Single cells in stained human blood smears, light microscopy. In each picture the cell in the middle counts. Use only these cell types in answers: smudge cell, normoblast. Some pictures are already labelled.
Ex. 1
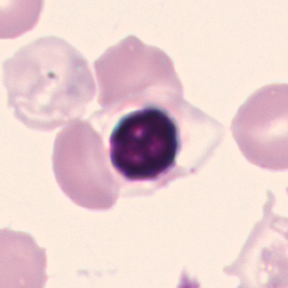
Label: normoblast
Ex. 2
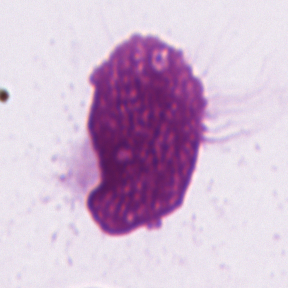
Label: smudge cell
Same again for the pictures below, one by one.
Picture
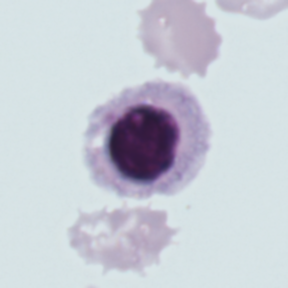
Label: normoblast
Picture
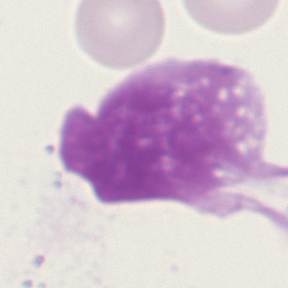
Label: smudge cell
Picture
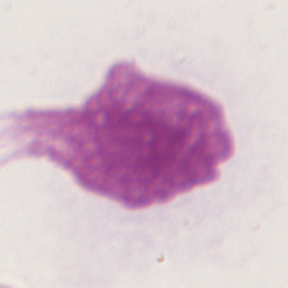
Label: smudge cell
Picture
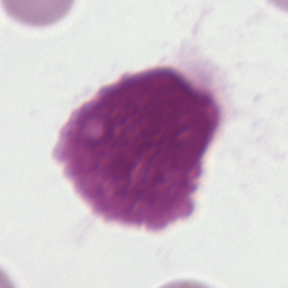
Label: smudge cell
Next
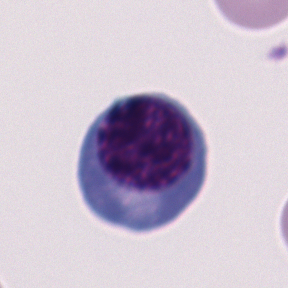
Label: normoblast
